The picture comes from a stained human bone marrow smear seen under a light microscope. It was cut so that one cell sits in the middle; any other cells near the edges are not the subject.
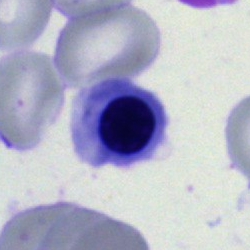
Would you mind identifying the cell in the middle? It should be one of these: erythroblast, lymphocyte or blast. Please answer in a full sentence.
In the centre of this crop there is an erythroblast.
